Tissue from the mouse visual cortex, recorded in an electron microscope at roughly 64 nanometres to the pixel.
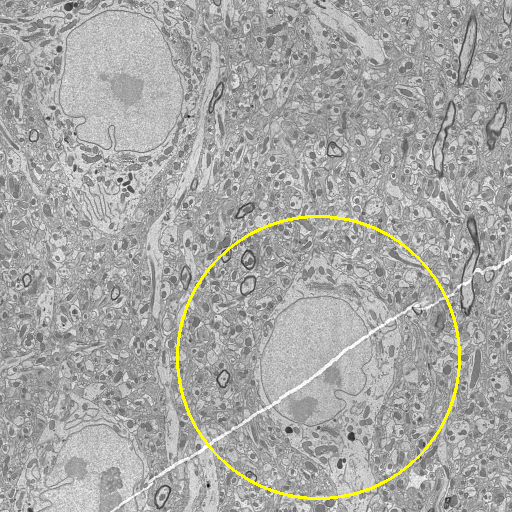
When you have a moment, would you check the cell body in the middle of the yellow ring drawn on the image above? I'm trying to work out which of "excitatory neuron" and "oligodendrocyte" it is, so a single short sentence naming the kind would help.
This cell body belongs to an excitatory neuron.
